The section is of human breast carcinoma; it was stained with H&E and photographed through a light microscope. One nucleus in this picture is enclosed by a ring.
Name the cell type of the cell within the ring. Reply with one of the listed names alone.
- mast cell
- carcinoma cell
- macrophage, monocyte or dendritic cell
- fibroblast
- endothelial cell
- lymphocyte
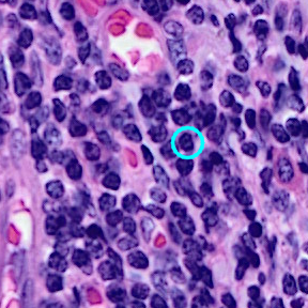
lymphocyte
